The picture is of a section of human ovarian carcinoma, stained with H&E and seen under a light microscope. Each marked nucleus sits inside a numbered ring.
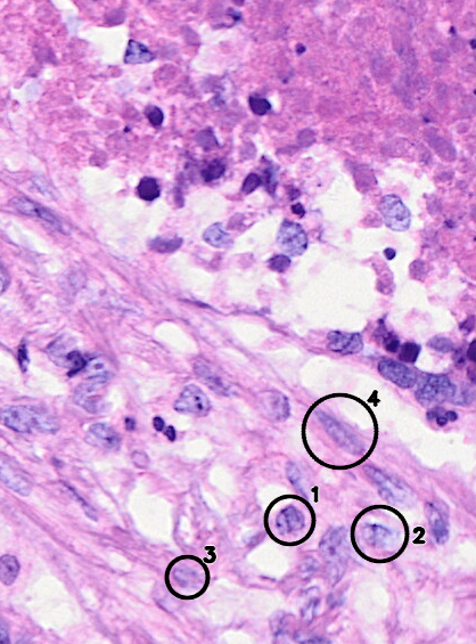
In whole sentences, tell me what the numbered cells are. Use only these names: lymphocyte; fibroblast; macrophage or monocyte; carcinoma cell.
Cell 1 is a macrophage or monocyte, cell 2 is a fibroblast, cell 3 is a fibroblast and cell 4 is a fibroblast.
